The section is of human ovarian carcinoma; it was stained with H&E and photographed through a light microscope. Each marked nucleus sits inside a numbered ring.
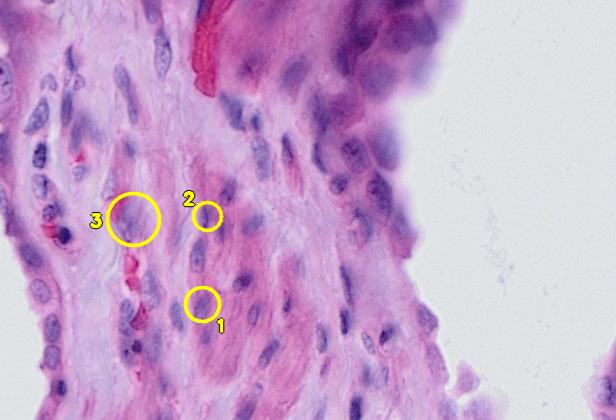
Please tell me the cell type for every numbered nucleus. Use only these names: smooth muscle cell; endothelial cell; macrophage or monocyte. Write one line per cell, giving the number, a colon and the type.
1: smooth muscle cell
2: smooth muscle cell
3: endothelial cell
